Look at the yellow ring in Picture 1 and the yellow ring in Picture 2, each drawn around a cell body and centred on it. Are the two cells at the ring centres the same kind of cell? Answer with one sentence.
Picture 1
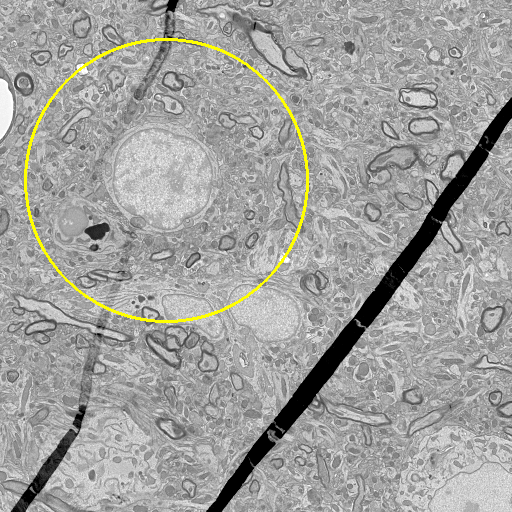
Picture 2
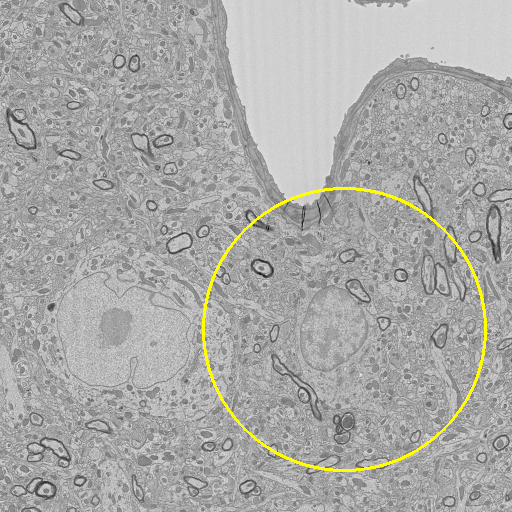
Yes, both are the same kind of cell.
